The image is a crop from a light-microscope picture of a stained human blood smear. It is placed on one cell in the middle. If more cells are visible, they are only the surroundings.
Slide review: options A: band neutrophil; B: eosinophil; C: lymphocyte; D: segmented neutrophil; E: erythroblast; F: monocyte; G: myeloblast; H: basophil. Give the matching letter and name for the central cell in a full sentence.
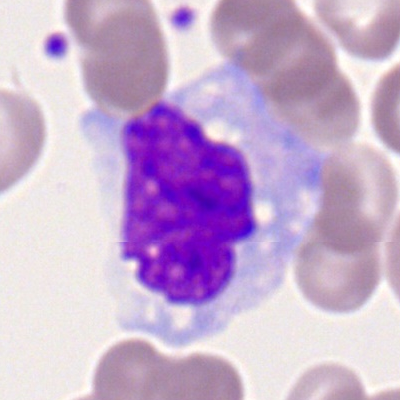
The cell in the middle is a monocyte, and so option F is correct.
